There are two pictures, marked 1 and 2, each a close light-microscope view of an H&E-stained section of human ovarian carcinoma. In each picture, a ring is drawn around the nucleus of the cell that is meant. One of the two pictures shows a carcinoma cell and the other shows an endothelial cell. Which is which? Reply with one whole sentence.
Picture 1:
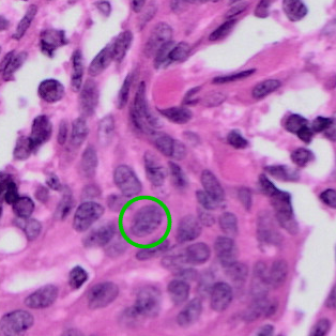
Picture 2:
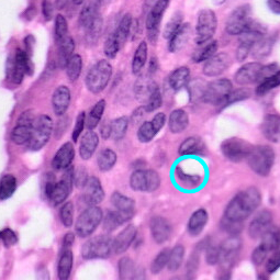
The cell in picture 1 is a carcinoma cell, and the one in picture 2 is an endothelial cell.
